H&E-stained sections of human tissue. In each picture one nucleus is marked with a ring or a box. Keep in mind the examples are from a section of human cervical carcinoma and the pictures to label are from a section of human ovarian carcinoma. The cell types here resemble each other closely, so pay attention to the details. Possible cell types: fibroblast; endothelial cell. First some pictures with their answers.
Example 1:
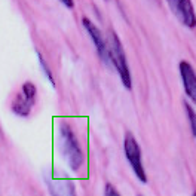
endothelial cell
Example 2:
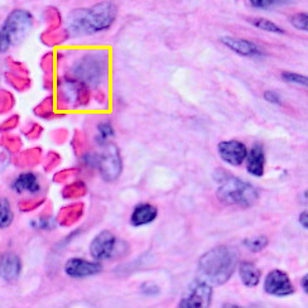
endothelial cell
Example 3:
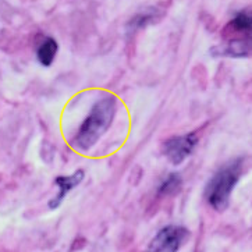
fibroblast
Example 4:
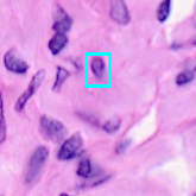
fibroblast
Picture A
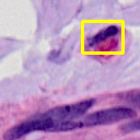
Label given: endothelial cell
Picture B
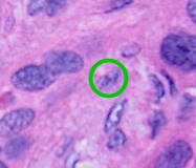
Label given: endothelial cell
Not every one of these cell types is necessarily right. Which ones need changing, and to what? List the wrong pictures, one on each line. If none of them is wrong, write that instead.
B should be fibroblast, not endothelial cell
